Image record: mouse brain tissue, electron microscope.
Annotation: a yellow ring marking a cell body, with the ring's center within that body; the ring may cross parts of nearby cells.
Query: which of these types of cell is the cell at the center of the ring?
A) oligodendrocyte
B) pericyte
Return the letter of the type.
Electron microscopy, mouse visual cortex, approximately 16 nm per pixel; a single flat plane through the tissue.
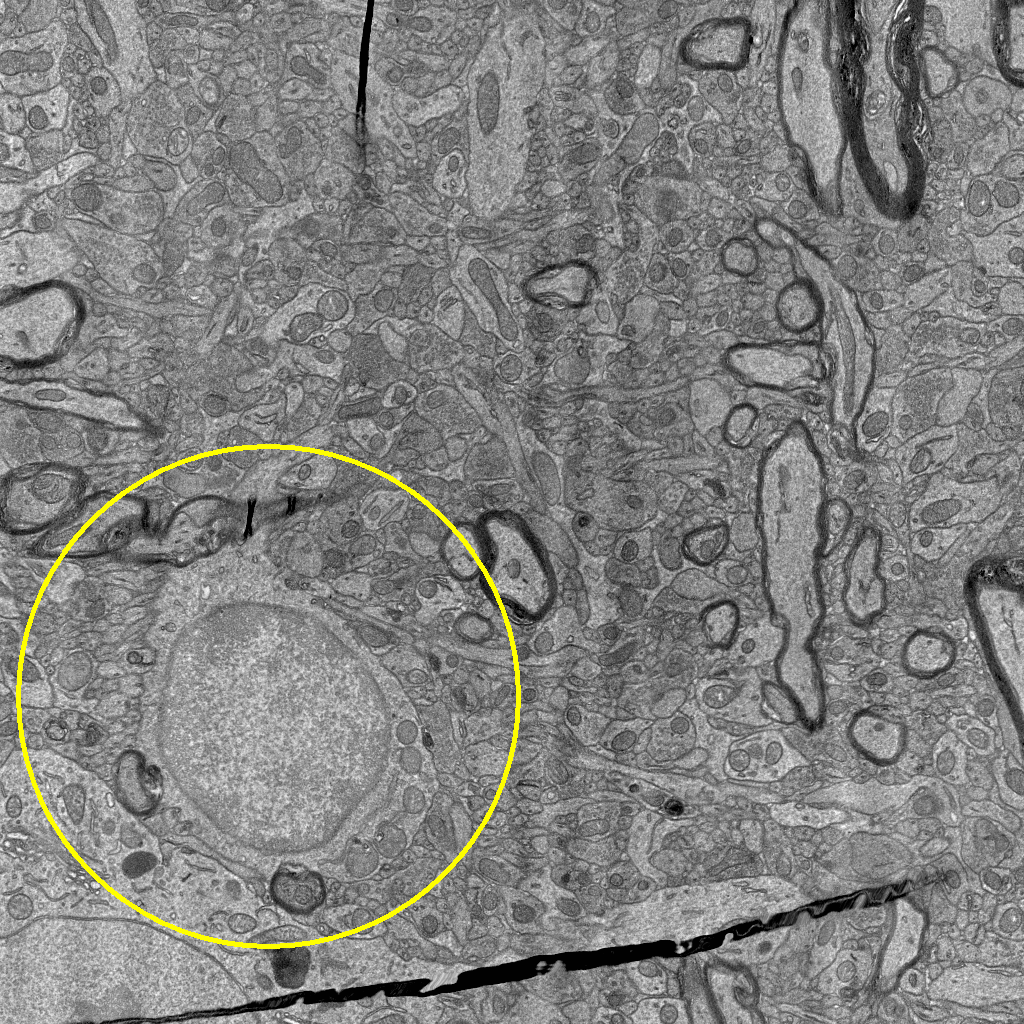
A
